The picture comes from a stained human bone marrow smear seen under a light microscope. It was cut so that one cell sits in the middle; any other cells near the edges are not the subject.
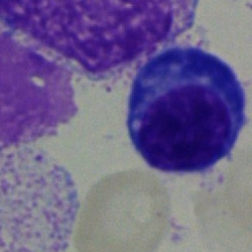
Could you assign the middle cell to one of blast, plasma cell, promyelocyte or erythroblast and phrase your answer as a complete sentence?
Regarding the central cell, it is a plasma cell.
